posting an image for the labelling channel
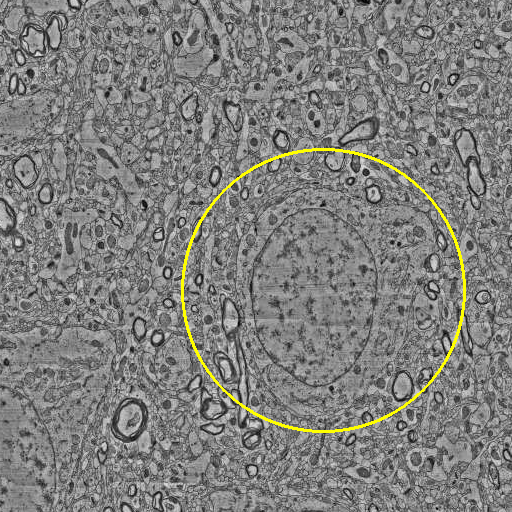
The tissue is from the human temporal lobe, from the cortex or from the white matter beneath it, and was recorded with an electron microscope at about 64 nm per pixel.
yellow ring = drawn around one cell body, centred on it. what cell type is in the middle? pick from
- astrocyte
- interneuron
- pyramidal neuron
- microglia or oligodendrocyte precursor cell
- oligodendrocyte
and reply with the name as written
pyramidal neuron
